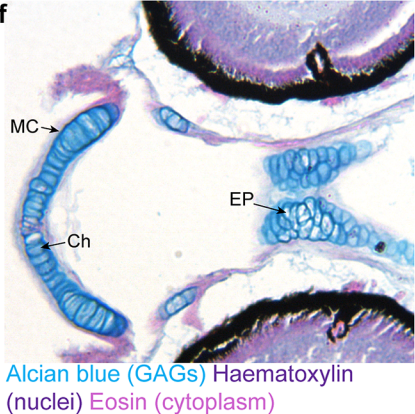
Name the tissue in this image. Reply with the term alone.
Cartilage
